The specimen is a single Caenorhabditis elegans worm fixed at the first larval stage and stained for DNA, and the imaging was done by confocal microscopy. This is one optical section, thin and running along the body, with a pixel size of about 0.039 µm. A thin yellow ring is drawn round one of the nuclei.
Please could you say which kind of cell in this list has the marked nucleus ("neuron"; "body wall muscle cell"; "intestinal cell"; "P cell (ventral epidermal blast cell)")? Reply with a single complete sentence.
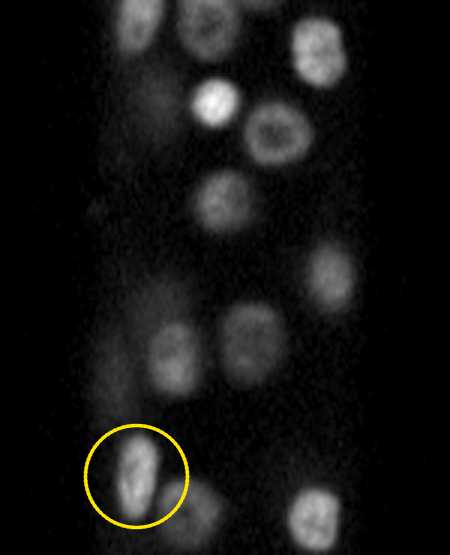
The marked cell is a body wall muscle cell.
